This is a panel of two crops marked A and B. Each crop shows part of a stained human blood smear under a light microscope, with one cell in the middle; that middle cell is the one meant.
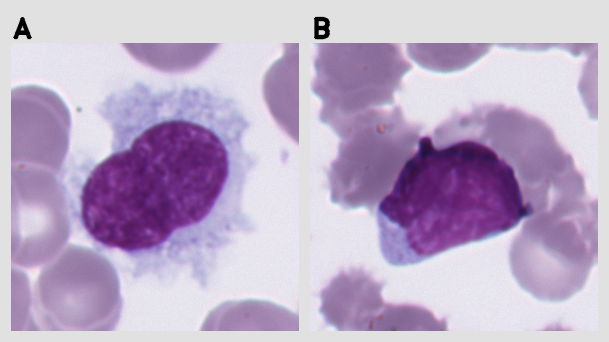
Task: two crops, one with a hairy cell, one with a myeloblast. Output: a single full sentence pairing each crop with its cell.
Crop A is to be labelled a hairy cell, and crop B a myeloblast.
